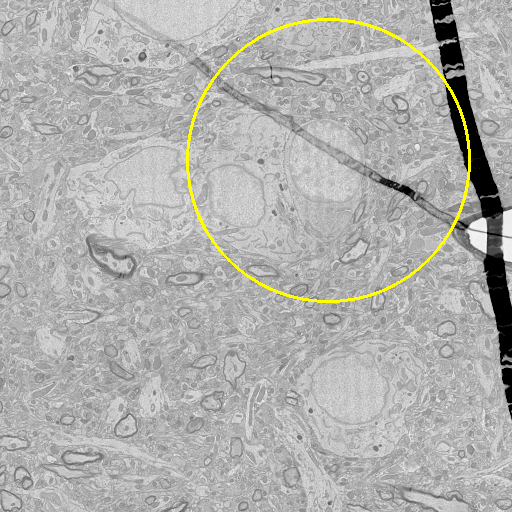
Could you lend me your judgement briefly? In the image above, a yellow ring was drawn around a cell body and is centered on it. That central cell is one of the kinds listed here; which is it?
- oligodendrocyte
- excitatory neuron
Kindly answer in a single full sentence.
Going by the list, an oligodendrocyte is the kind at the ring's center in the picture.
